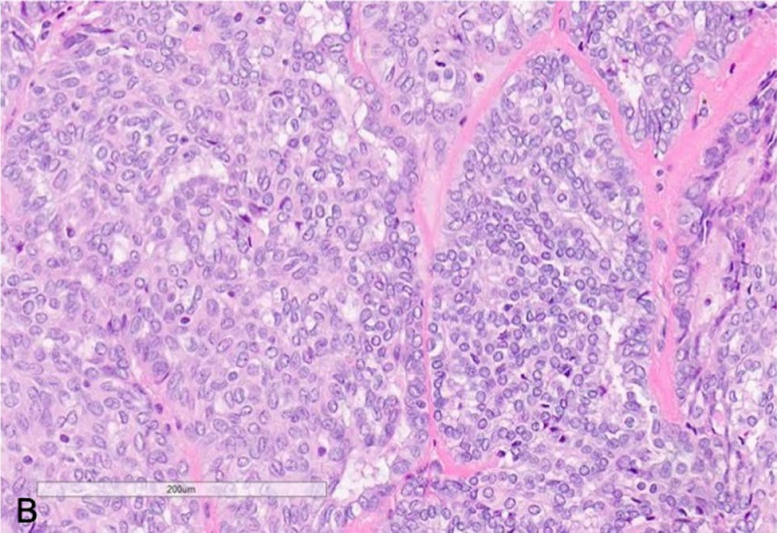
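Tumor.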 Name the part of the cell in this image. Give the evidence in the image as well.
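Nuclei are pale with fine, sparse chromatin. The nuclear membrane stands out against pale nuclear interiors. So: open-to-clear chromatin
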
